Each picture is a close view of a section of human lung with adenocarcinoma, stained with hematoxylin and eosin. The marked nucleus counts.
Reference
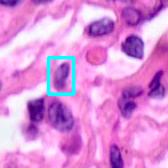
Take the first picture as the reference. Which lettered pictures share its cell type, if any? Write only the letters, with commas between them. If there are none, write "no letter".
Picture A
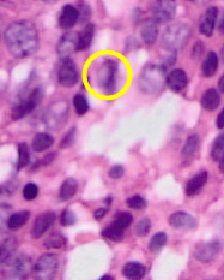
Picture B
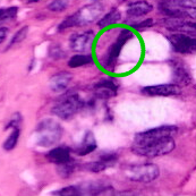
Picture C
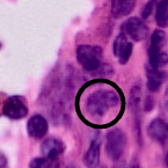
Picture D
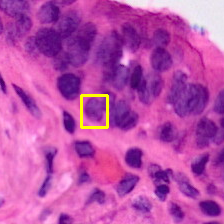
C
